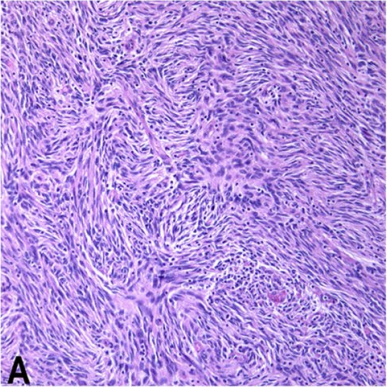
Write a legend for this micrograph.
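A spindle cell tumor is shown with elongated cells arranged in intersecting fascicles and whorled, storiform patterns. The spindle cells have pale pink cytoplasm and elongated nuclei. Between the bundles lie many small round cells with dark nuclei, consistent with a lymphocytic infiltrate, gathered in places into loose patches.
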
